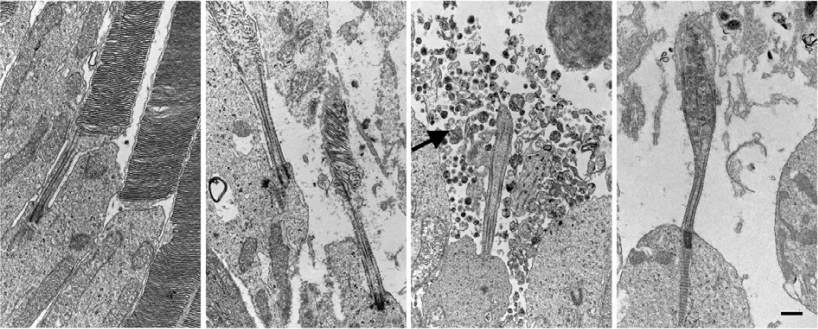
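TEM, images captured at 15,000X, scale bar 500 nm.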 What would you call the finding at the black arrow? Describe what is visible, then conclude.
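Accumulation of vesicles. The arrow points into a crowd of many small round membrane profiles. These lie around a thin ciliary stalk instead of forming a stack of discs.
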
